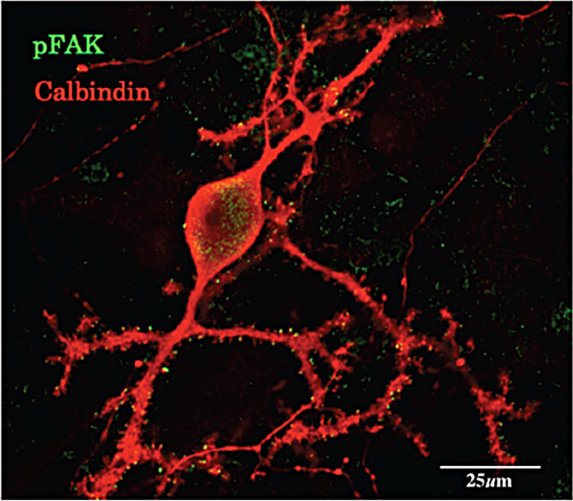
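A single cultured Purkinje cell fills the field, labelled red throughout. Its large pear-shaped cell body sits in the upper middle, with green dots spread over its cytoplasm. Several thick dendrites leave the cell body, one upward and others downward, and branch repeatedly into a spreading tree. The branches bear many short spiny protrusions, especially on the more distant branches. Only scattered green dots lie on these spines and along the dendrites. Thin red fibres from other cells cross the dark background, and faint green specks lie between the branches.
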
